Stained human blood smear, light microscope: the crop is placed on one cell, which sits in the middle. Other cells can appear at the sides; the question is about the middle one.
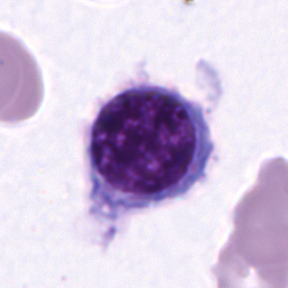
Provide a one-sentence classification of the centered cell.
Answering briefly, the cell in the middle is a plasma cell.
